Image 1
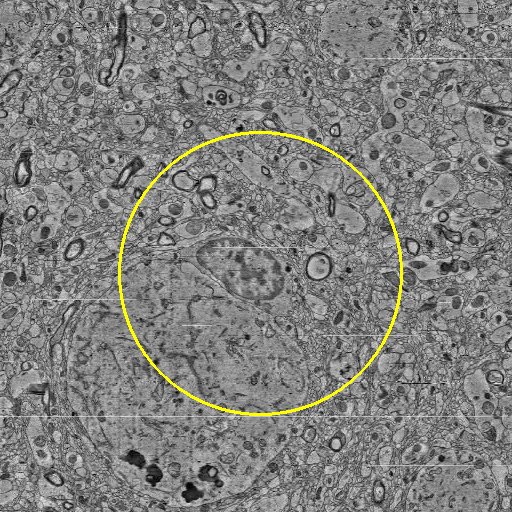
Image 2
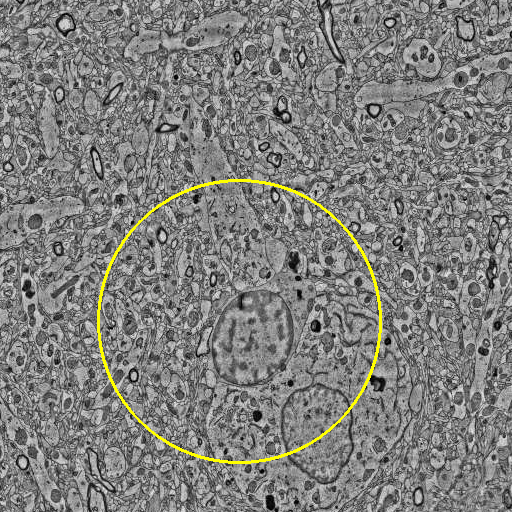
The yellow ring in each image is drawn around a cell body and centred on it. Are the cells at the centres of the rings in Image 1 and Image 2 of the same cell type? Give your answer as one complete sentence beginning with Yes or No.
Yes, both cells are of the same type.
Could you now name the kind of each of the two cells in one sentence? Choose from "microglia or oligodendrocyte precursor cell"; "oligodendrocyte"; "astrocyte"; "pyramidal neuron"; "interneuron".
Each cell, in the first picture and the second, is an oligodendrocyte.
